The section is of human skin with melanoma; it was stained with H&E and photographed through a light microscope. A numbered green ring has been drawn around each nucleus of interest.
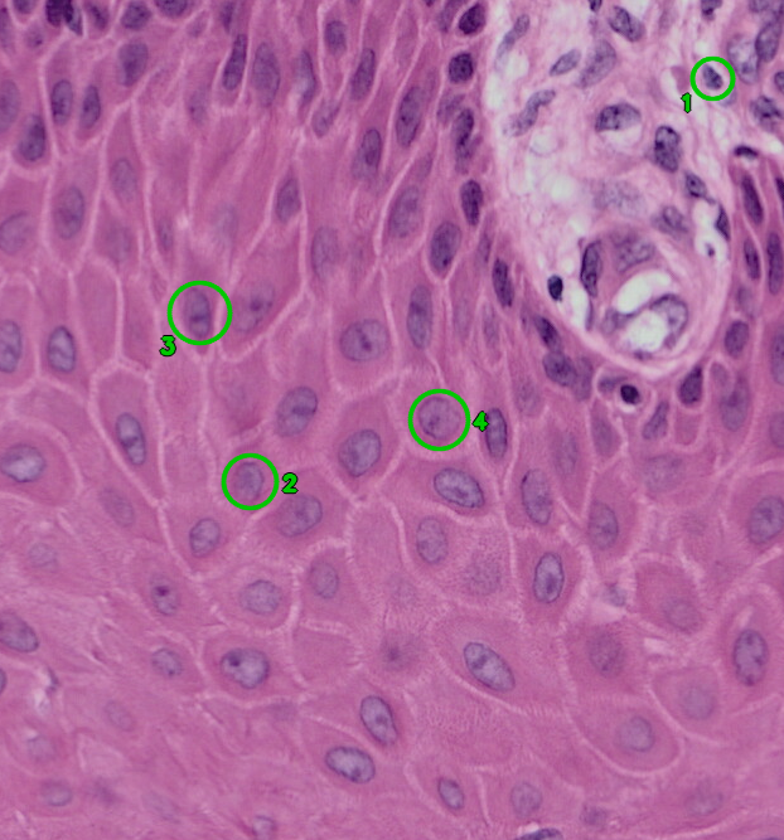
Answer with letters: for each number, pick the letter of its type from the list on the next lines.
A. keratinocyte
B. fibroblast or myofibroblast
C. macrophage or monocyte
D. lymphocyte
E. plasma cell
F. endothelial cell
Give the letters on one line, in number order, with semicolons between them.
D; A; A; A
